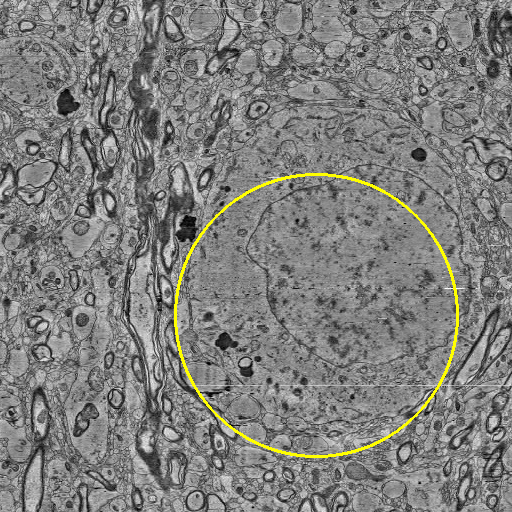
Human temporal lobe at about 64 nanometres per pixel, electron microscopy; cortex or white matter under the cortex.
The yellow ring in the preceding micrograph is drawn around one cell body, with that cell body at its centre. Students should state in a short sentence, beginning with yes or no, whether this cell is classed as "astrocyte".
No, this cell is of another type.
